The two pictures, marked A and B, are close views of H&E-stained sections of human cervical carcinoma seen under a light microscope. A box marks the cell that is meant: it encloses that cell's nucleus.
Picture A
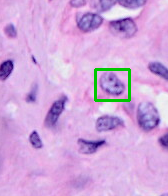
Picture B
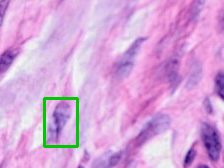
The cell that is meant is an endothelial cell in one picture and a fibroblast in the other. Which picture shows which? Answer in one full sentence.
In picture A the cell is an endothelial cell; in picture B, a fibroblast.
